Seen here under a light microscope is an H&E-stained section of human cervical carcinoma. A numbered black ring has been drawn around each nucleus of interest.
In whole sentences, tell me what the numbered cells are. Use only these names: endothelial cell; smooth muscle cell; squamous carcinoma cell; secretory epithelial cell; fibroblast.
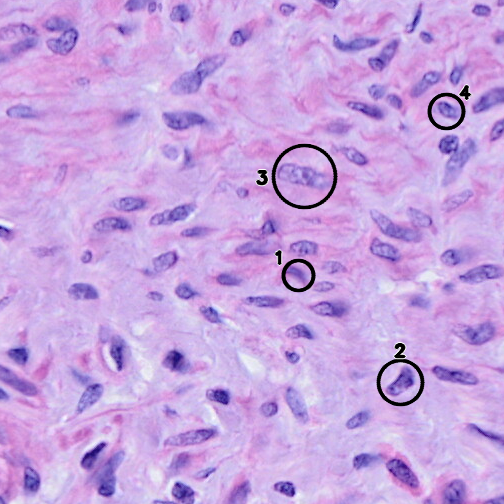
Cell 1 is a smooth muscle cell, cell 2 is a fibroblast, cell 3 is a smooth muscle cell and cell 4 is a smooth muscle cell.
